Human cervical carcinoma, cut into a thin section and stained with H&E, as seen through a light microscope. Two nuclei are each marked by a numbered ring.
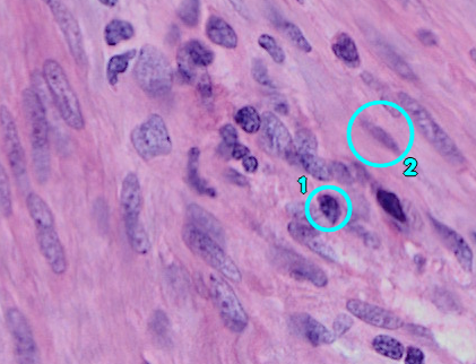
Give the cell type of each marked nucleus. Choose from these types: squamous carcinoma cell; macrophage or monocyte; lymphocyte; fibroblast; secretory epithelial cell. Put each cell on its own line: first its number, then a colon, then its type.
1: lymphocyte
2: fibroblast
